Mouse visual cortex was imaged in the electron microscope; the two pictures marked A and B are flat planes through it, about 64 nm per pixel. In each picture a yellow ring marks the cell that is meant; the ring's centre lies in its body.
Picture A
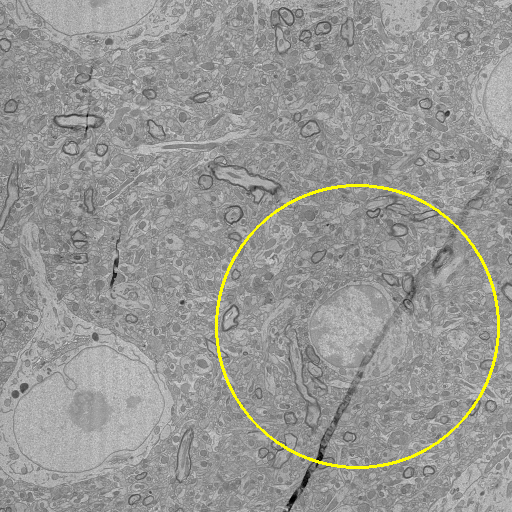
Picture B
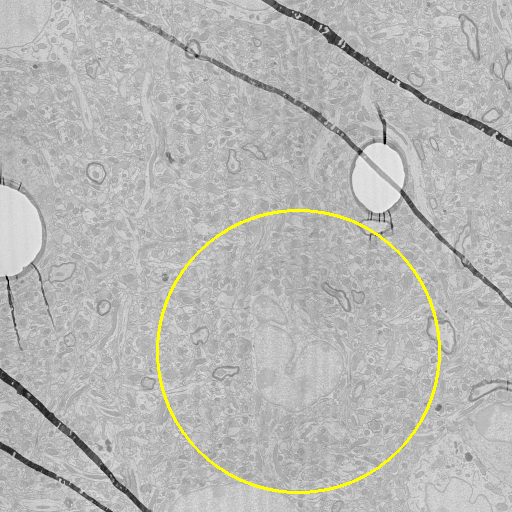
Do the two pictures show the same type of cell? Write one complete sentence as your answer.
No, picture A shows an oligodendrocyte and picture B shows an astrocyte.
